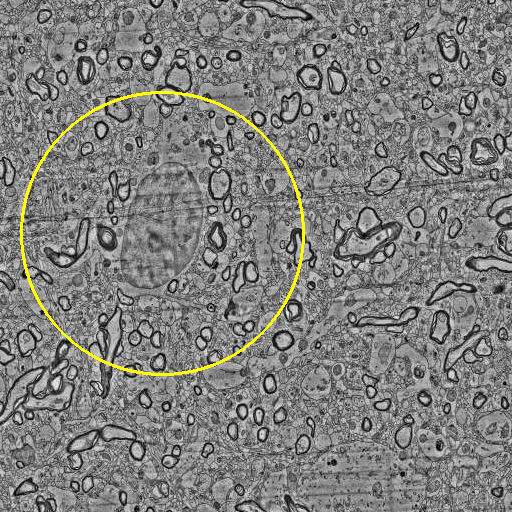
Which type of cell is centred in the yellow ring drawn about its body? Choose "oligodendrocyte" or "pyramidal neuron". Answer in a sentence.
The yellow ring surrounds the cell body of an oligodendrocyte.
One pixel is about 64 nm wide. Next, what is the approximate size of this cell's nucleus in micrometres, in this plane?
Approximately 8 by 5 micrometers in this plane.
